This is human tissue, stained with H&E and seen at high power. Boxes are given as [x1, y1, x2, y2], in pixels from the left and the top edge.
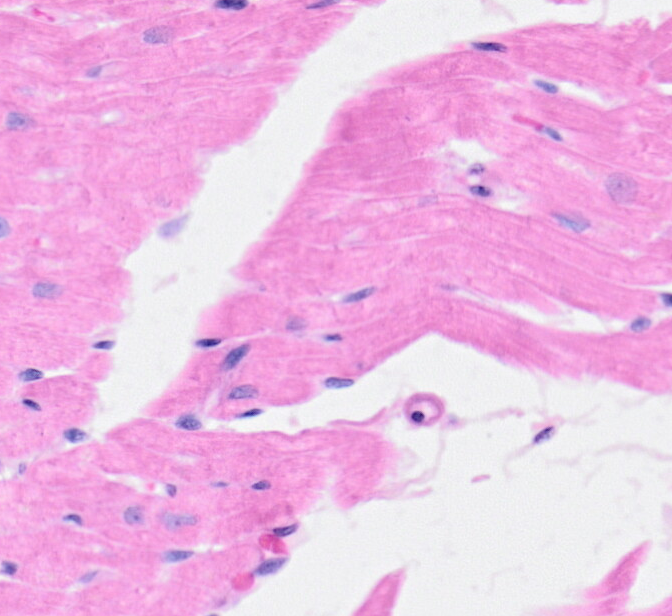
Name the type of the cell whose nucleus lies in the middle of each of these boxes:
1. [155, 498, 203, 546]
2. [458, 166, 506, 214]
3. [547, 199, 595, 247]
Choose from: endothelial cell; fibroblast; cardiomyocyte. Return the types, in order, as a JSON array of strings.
["cardiomyocyte", "endothelial cell", "cardiomyocyte"]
